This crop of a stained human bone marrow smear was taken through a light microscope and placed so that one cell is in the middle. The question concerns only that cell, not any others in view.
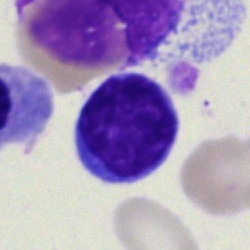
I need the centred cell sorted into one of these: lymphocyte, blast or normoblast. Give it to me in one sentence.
This particular crop is centered on a lymphocyte.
